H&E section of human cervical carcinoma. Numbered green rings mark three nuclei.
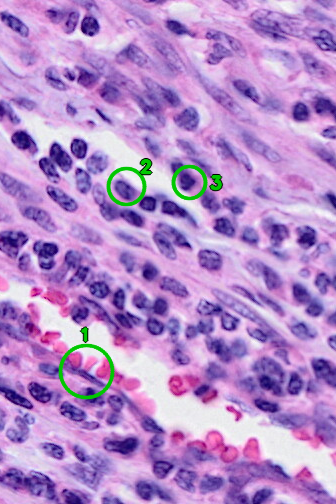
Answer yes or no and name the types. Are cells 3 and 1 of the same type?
No, cell 3 is a lymphocyte, and as for cell 1, it is an endothelial cell.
